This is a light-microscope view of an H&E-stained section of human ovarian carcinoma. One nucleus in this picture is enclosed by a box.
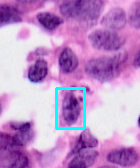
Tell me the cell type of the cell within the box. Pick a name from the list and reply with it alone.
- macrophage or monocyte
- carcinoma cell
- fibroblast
macrophage or monocyte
